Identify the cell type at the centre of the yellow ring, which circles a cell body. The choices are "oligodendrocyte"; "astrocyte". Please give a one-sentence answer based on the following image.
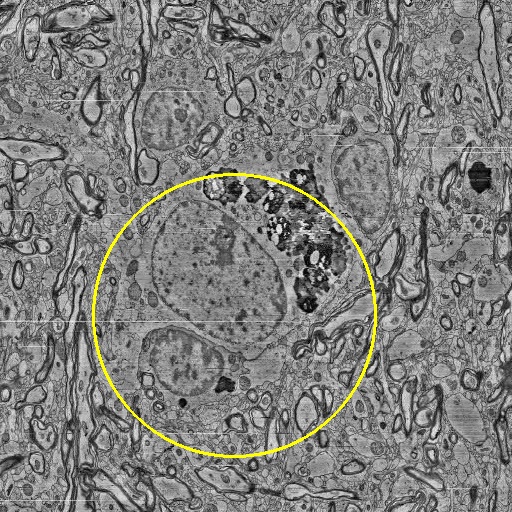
The cell marked by the ring is an astrocyte.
